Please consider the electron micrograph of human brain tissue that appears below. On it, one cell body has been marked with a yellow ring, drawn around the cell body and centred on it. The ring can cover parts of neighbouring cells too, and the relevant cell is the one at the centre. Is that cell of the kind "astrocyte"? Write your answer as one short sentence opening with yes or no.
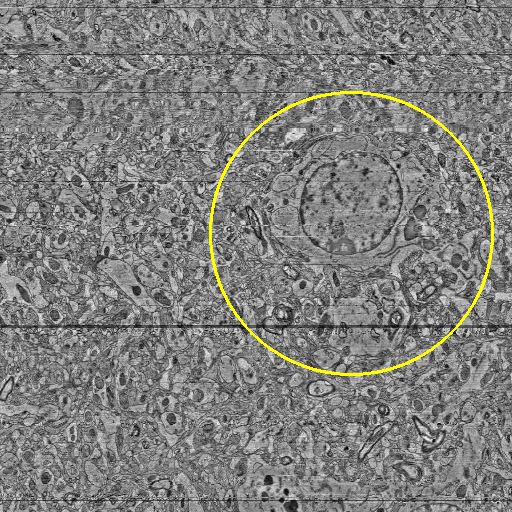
Yes, it is of that kind.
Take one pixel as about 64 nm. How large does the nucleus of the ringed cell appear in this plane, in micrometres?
Roughly 7 micrometres across for the nucleus, in this plane.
